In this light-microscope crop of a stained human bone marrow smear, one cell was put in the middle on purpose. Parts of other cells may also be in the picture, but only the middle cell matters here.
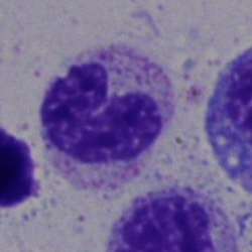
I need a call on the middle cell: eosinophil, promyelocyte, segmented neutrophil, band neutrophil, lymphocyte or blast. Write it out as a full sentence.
The middle position in this crop is taken by a band neutrophil.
